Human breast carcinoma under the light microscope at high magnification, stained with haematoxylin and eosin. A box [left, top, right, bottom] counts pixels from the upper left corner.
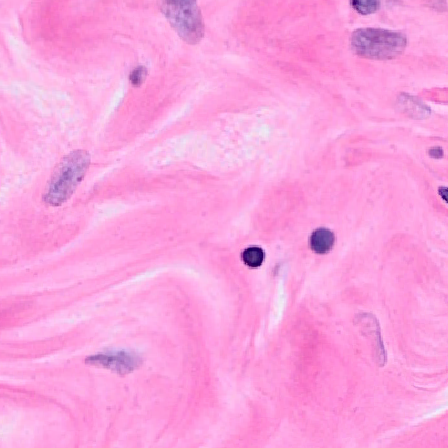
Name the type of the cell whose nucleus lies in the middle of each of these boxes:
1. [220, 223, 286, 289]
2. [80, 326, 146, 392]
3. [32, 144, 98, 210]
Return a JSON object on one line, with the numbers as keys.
{"1": "lymphocyte", "2": "fibroblast", "3": "fibroblast"}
